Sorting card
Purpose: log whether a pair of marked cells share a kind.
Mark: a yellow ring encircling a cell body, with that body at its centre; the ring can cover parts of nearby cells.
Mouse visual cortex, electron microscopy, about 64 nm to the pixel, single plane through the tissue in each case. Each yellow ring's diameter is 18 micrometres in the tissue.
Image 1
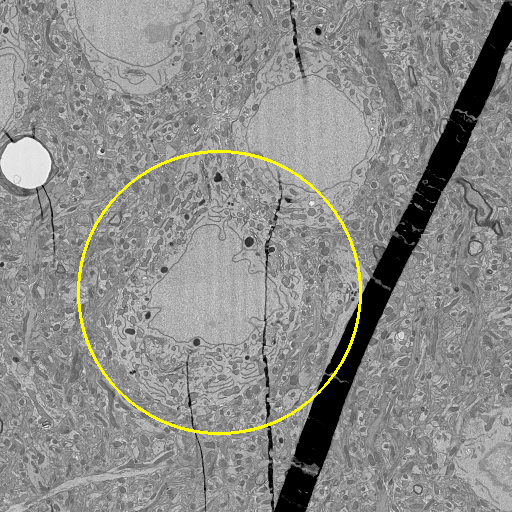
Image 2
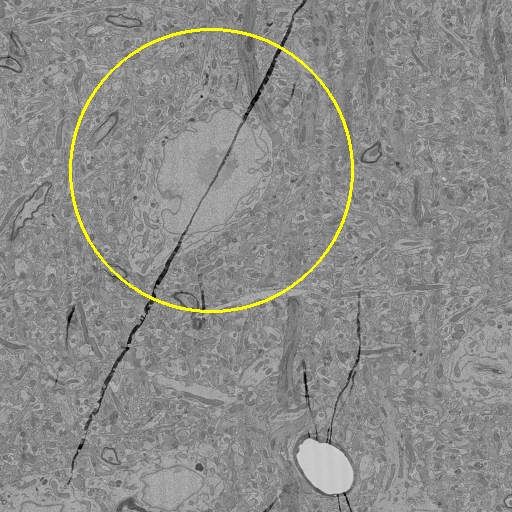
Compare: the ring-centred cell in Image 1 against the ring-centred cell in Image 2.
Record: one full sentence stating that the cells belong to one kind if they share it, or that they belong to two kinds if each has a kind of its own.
Across Images 1 and 2, the two ring-centred cells belong to one kind.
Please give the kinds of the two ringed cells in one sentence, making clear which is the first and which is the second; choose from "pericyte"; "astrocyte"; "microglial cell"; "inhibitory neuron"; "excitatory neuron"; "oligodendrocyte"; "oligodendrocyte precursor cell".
Each cell, in the first picture and the second, is an inhibitory neuron.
